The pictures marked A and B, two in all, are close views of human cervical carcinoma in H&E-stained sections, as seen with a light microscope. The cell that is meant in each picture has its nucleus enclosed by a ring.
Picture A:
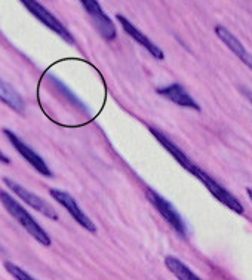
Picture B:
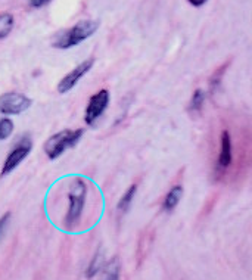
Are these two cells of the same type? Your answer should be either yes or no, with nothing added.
no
